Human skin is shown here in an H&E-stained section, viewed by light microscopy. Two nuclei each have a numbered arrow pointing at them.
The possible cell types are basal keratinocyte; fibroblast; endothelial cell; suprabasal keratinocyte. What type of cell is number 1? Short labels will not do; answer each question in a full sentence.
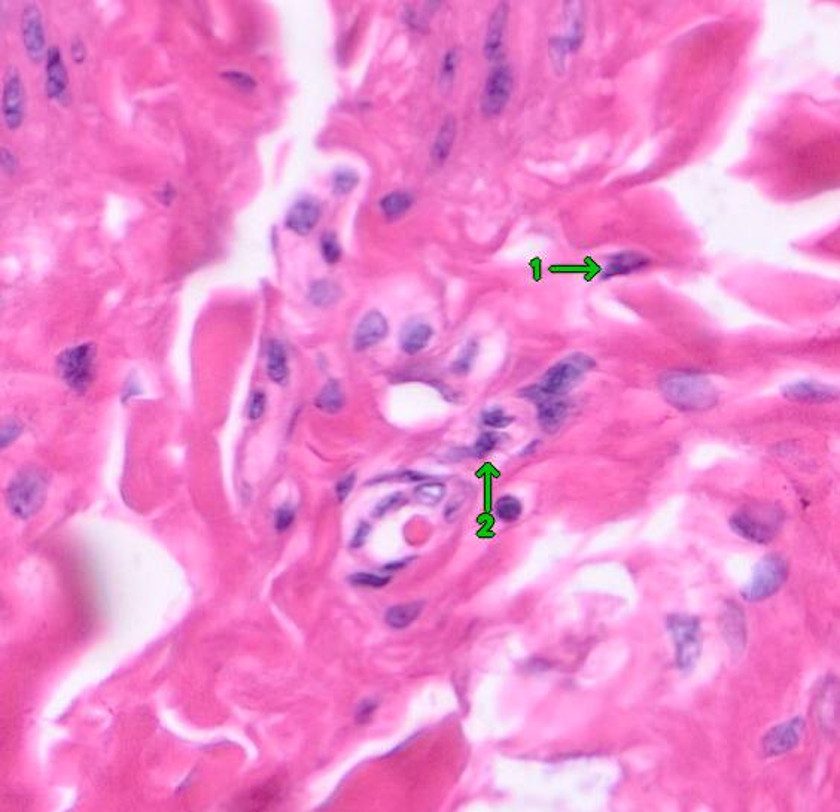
The cell to which the number 1 is assigned is a fibroblast.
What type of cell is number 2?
The mark numbered 2 indicates the nucleus of an endothelial cell.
